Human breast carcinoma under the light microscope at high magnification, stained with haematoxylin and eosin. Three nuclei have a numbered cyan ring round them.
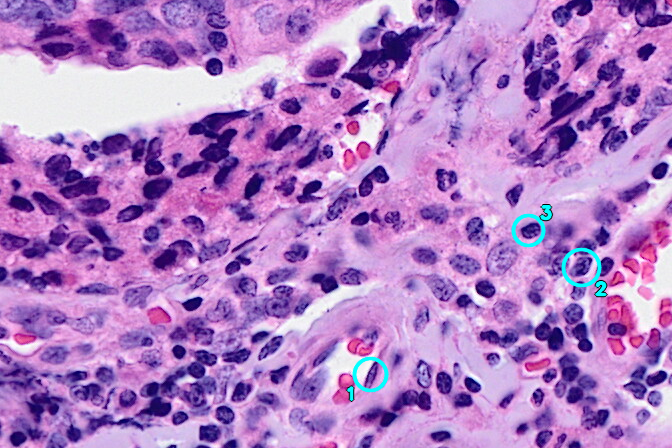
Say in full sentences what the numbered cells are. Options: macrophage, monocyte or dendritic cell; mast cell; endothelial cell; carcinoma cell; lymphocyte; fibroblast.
Cell 1 is an endothelial cell, cell 2 is a lymphocyte and cell 3 is a lymphocyte.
